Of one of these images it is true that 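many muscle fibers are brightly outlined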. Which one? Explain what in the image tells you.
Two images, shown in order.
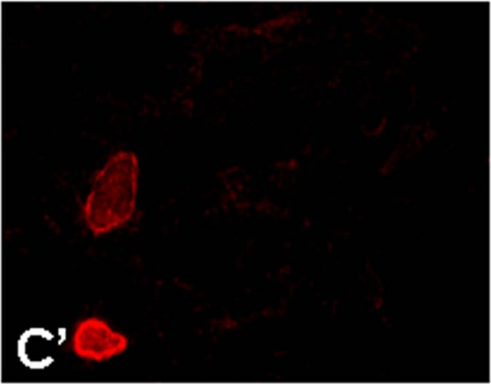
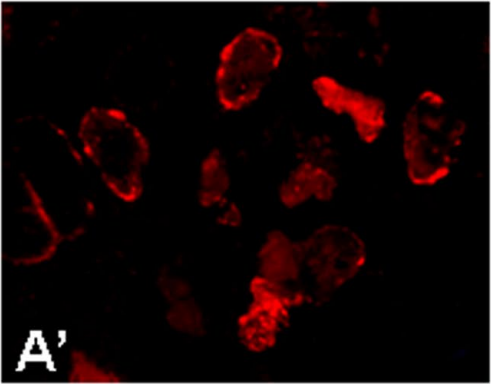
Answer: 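The second image. First image: only two fibers show bright red staining on a dark field. Second image: about ten fibers show bright red rims or patches.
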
